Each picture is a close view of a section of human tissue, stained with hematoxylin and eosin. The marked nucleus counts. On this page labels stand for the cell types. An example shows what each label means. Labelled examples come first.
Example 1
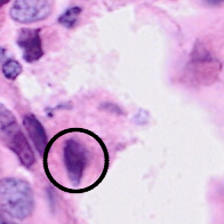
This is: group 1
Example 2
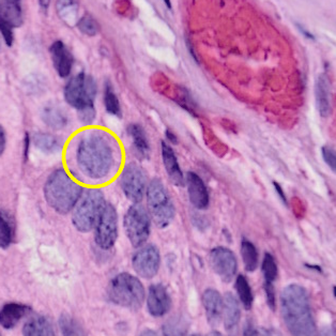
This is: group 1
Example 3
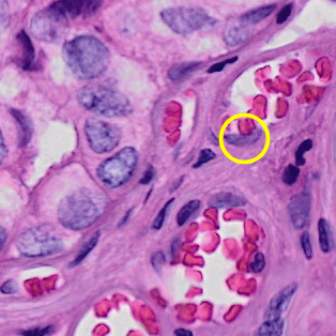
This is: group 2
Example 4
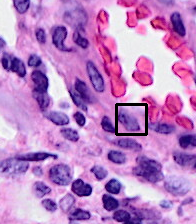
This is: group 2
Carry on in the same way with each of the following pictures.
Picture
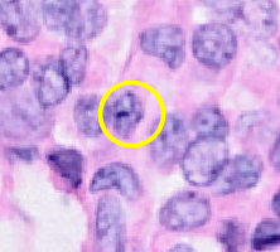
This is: group 2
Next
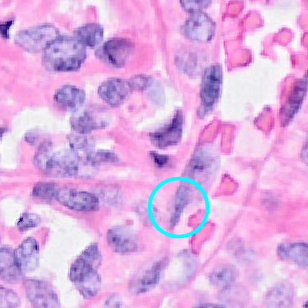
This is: group 2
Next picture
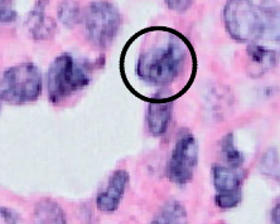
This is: group 1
